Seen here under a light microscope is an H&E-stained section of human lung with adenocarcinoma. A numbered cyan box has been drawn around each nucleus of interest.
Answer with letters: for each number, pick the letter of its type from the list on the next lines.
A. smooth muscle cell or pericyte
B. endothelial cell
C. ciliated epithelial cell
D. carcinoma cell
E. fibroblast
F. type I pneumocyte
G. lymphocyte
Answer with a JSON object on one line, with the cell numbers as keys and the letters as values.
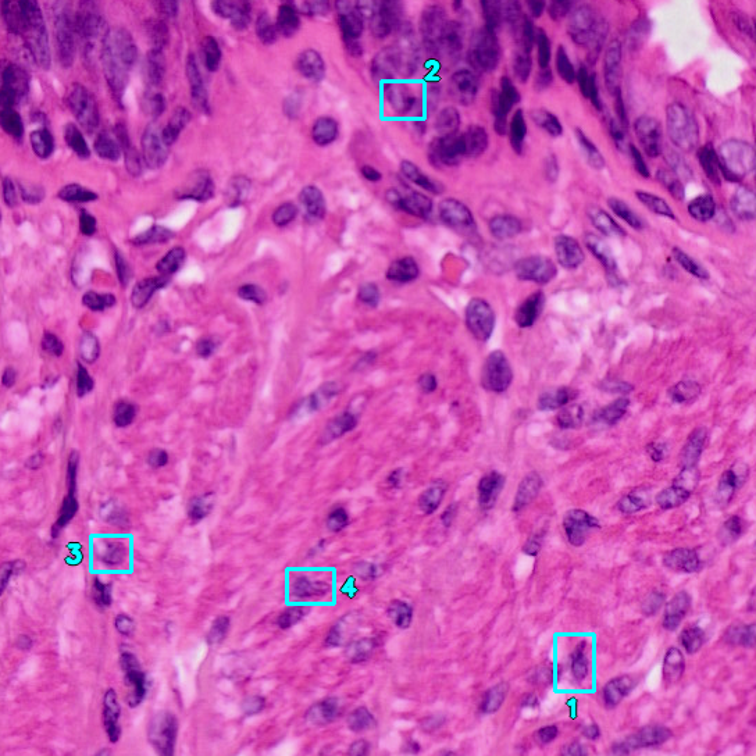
{"1": "A", "2": "C", "3": "A", "4": "A"}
